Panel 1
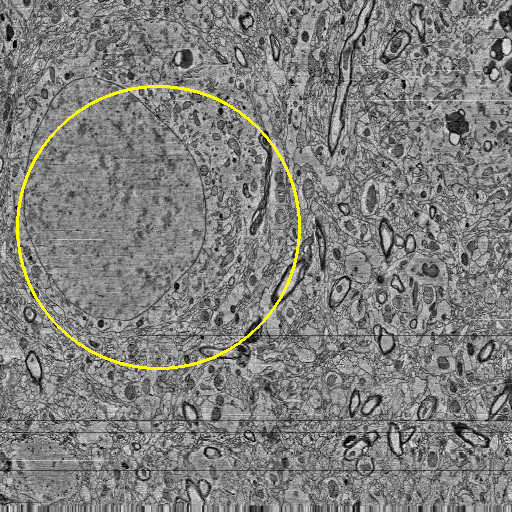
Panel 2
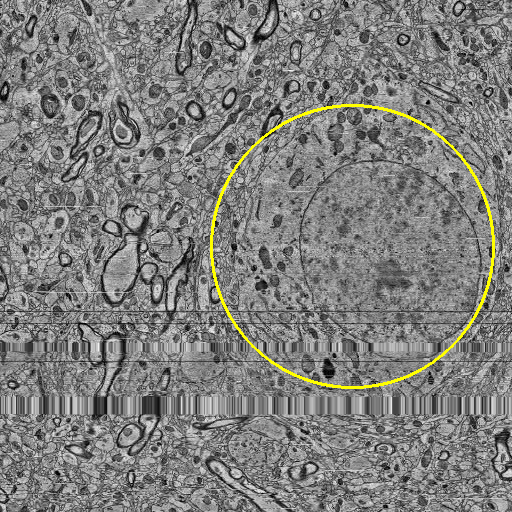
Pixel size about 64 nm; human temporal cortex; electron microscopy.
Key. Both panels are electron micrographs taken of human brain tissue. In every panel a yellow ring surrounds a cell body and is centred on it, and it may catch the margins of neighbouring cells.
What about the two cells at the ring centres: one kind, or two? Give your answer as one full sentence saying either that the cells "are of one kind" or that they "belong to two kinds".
Across Panels 1 and 2, the two cells at the ring centres belong to two kinds.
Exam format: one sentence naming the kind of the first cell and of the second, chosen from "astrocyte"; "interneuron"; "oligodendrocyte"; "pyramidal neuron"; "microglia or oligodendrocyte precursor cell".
The first picture's cell is a pyramidal neuron, and the second picture's cell is an interneuron.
